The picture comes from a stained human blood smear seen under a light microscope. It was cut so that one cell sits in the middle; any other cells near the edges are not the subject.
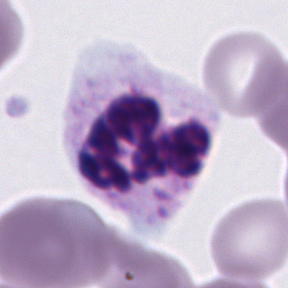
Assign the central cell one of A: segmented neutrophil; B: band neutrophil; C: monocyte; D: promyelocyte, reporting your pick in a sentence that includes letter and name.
Option A is the keyed answer: the cell in the middle is a segmented neutrophil.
